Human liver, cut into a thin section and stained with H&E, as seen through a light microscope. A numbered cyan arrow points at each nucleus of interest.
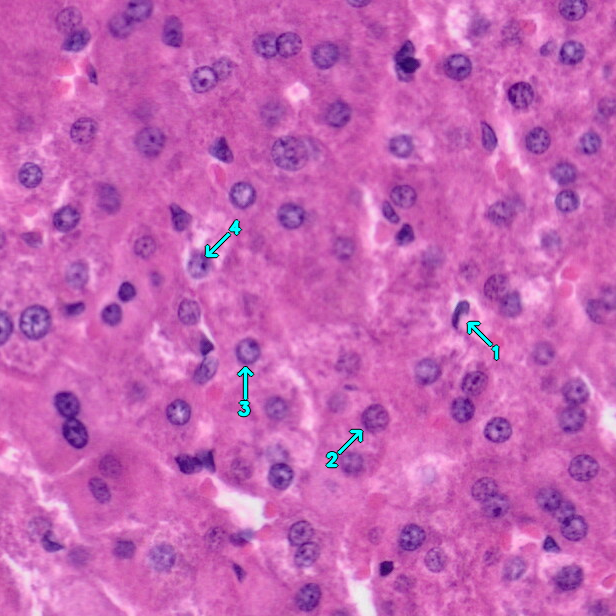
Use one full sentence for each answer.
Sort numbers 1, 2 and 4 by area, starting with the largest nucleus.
The nuclei rank 2, 4, 1, from largest to smallest.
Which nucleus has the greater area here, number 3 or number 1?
It is nucleus 3, which covers about 2 times the area of nucleus 1.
